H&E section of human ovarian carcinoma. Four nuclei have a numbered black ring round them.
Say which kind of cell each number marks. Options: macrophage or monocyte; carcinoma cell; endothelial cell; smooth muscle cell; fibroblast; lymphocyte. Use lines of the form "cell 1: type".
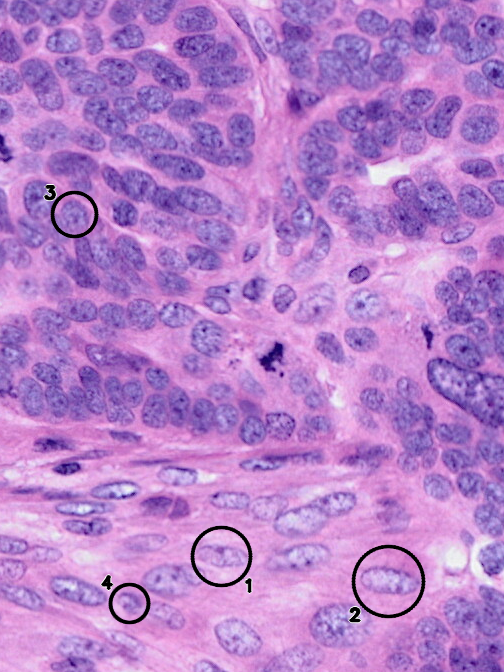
cell 1: fibroblast
cell 2: fibroblast
cell 3: carcinoma cell
cell 4: fibroblast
